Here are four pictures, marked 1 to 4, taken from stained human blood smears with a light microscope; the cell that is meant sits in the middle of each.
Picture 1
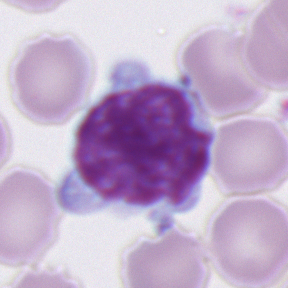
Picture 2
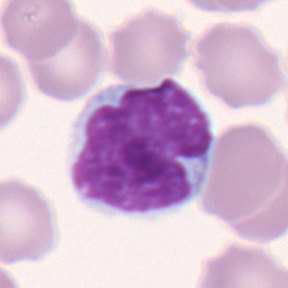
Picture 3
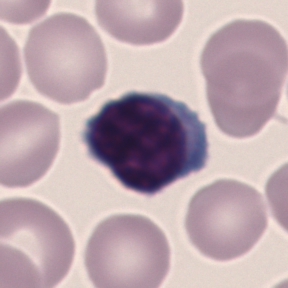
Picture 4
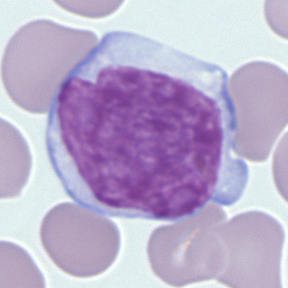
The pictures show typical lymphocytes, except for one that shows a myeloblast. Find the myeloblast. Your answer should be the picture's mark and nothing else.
4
